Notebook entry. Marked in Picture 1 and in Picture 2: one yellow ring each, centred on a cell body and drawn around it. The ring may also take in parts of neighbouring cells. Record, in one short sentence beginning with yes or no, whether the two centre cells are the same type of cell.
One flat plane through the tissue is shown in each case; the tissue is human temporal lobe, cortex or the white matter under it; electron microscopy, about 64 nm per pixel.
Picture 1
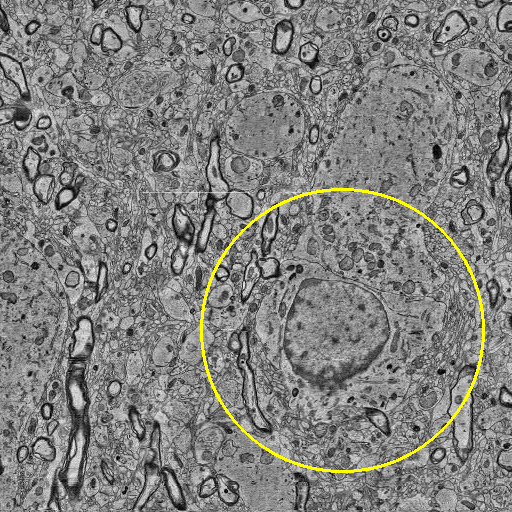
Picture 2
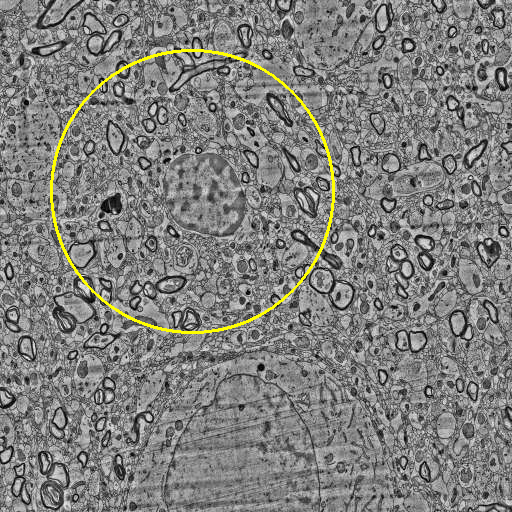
Yes, both are the same type of cell.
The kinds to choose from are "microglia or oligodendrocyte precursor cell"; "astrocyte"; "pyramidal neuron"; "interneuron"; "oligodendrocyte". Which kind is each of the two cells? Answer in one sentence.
The cell in the first picture is a microglial cell or oligodendrocyte precursor cell, and so is the one in the second.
